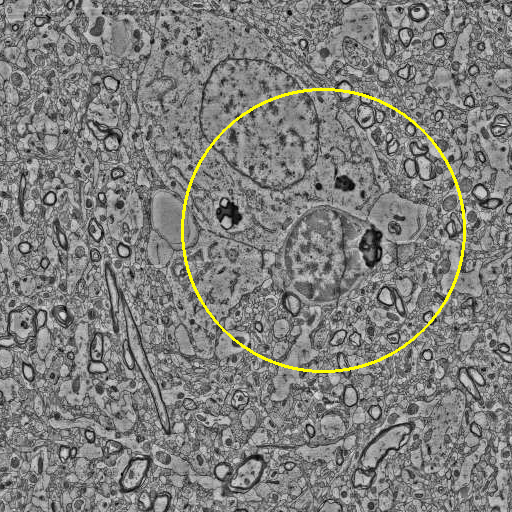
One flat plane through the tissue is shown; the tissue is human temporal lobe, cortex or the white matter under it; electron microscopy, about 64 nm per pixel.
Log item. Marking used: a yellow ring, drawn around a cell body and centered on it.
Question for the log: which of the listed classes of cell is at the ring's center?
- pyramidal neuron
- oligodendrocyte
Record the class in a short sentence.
At the center of the ring lies an oligodendrocyte.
